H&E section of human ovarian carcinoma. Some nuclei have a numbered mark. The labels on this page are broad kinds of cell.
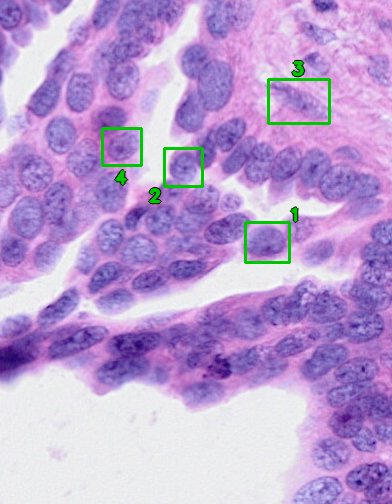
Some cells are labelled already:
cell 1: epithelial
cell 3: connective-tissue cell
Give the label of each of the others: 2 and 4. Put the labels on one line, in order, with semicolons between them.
epithelial; epithelial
